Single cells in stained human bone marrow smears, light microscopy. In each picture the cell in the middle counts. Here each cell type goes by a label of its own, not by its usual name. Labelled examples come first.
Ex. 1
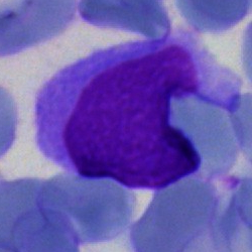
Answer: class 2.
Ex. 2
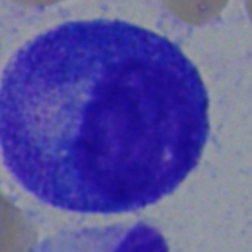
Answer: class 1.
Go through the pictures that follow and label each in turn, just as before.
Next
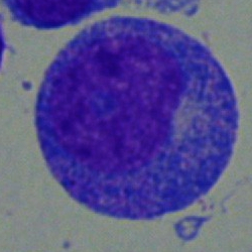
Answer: class 1.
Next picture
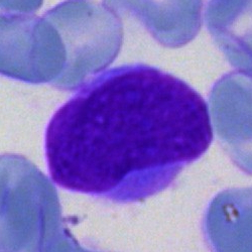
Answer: class 2.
